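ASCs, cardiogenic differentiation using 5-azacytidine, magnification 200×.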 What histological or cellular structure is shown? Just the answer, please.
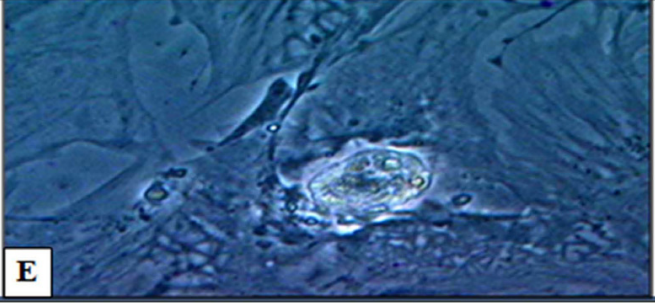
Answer: ball-like appearance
